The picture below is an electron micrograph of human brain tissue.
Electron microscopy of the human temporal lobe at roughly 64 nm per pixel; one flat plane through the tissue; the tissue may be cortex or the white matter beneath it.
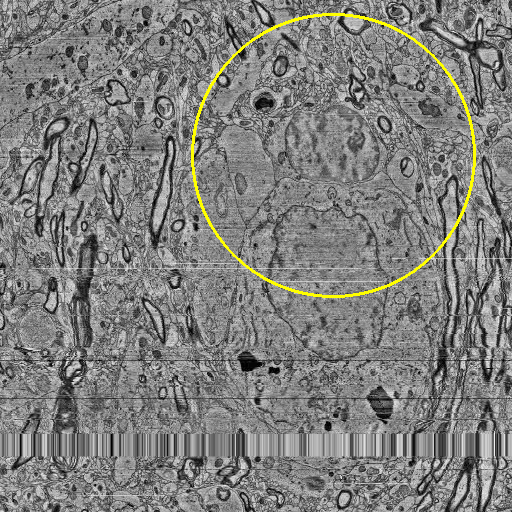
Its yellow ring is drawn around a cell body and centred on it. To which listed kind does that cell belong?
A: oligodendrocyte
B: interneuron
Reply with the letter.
A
